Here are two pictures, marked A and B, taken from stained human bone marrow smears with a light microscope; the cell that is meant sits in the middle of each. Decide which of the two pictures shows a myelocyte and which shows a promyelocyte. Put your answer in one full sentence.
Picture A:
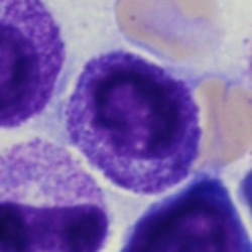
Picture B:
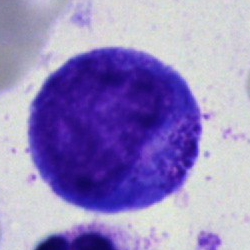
Picture A is of a myelocyte, and picture B is of a promyelocyte.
